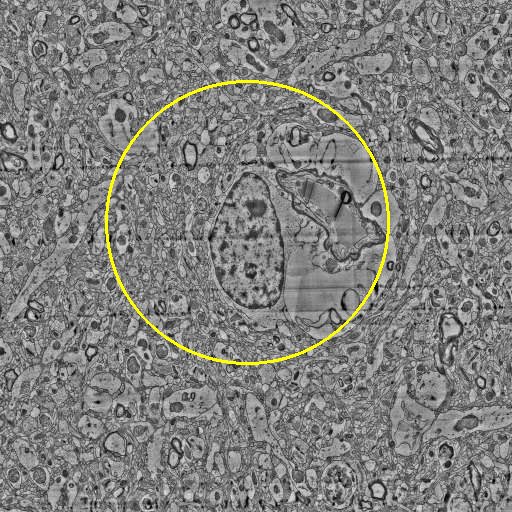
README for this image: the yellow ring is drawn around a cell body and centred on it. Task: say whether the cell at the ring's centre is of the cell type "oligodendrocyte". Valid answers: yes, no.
no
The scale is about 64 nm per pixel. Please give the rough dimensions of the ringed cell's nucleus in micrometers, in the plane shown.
About 9 by 5 micrometers; the nucleus is clearly longer than it is wide in this plane.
